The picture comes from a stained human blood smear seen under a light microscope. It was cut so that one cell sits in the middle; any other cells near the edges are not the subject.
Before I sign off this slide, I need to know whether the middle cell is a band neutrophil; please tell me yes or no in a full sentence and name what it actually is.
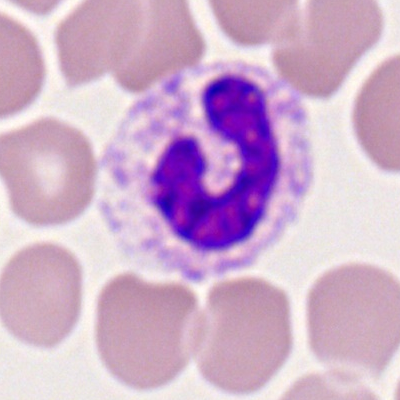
Yes, the cell at the middle is a band neutrophil.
